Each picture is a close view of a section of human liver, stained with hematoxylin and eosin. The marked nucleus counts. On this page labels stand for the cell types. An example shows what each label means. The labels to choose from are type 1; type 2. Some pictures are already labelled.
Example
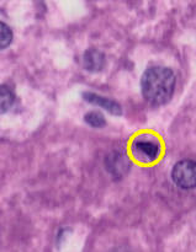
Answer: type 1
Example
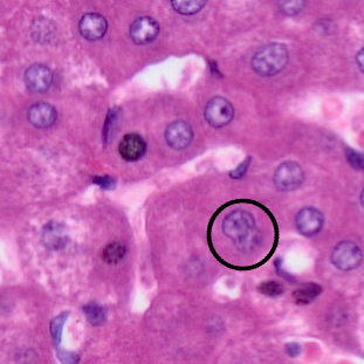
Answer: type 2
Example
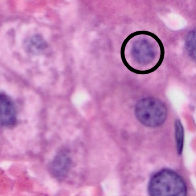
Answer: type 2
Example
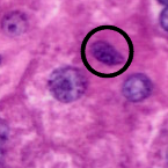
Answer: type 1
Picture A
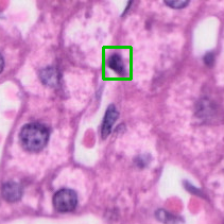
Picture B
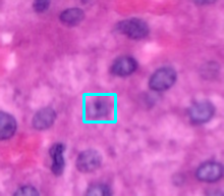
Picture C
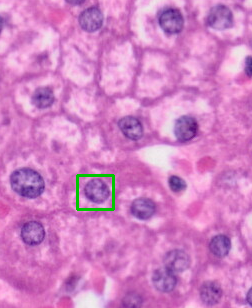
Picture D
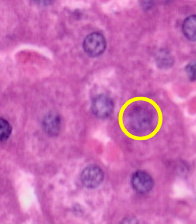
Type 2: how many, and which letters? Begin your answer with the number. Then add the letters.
Count: 3 (B, C, D)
